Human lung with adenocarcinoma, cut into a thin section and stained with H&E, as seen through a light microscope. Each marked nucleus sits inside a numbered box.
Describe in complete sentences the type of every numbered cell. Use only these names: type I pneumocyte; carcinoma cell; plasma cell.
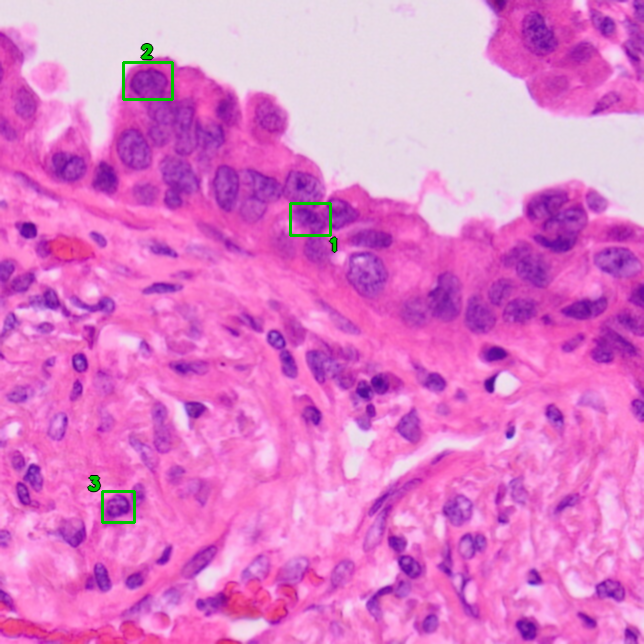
Cells 1 and 2 are carcinoma cells. Cell 3 is a plasma cell.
